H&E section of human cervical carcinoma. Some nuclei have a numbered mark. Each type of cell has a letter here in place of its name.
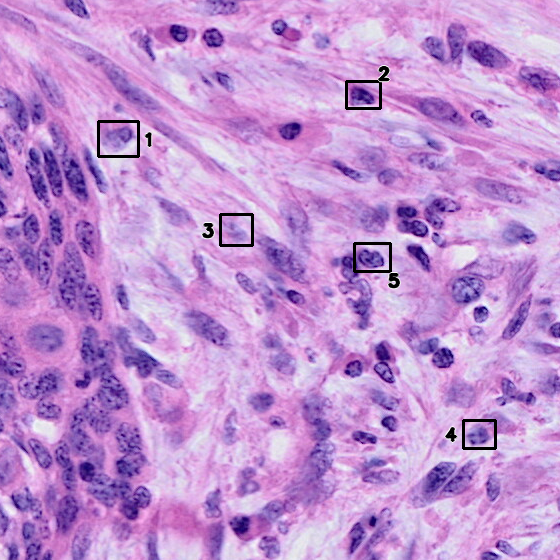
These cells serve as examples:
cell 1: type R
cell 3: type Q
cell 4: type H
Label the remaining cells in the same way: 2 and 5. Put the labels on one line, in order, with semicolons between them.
type H; type H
